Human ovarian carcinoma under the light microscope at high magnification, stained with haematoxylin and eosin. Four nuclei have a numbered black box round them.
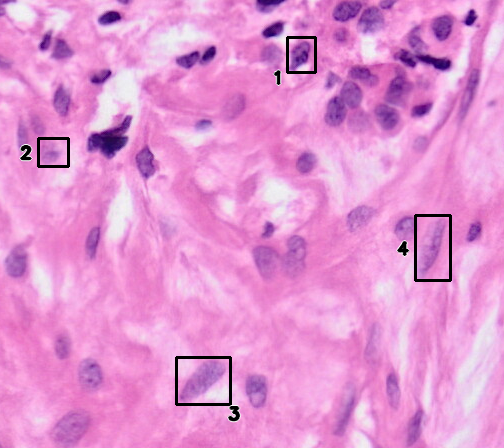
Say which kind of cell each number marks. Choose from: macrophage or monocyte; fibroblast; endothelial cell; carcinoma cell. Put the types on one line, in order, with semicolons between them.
macrophage or monocyte; fibroblast; fibroblast; fibroblast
